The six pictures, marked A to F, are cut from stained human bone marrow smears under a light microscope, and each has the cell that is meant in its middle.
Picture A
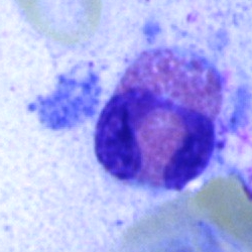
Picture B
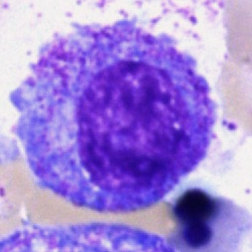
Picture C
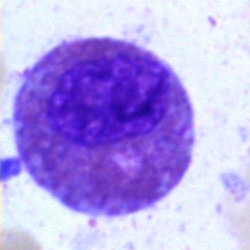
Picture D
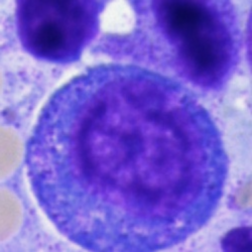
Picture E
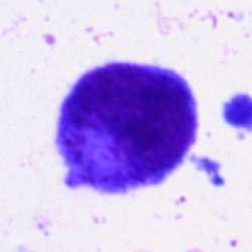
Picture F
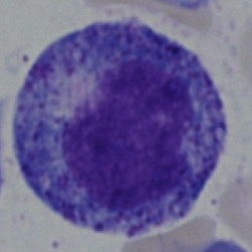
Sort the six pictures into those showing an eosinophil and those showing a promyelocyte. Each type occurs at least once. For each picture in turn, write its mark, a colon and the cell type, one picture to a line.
A: eosinophil
B: promyelocyte
C: eosinophil
D: promyelocyte
E: promyelocyte
F: promyelocyte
